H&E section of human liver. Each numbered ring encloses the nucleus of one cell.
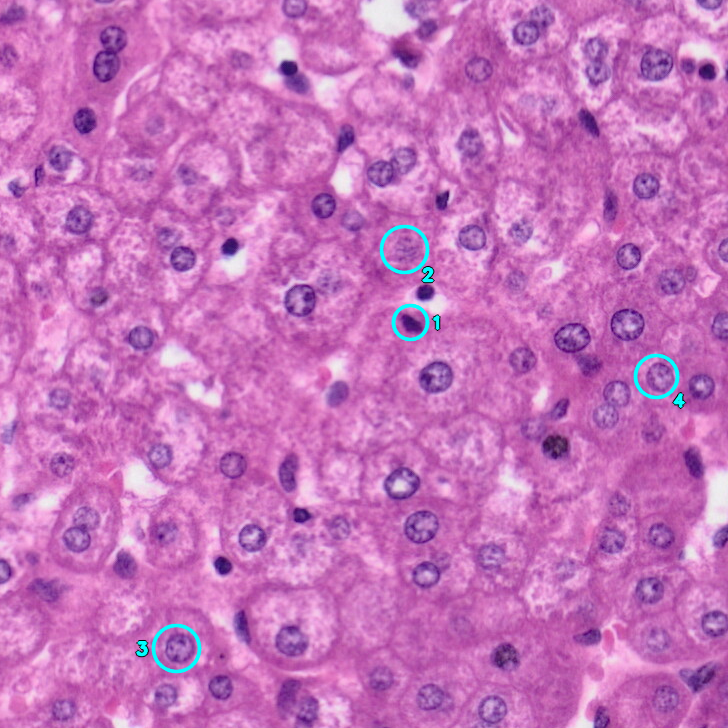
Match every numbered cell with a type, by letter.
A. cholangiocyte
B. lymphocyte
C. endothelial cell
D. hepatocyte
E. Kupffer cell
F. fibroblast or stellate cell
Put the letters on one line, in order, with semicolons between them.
F; D; D; D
